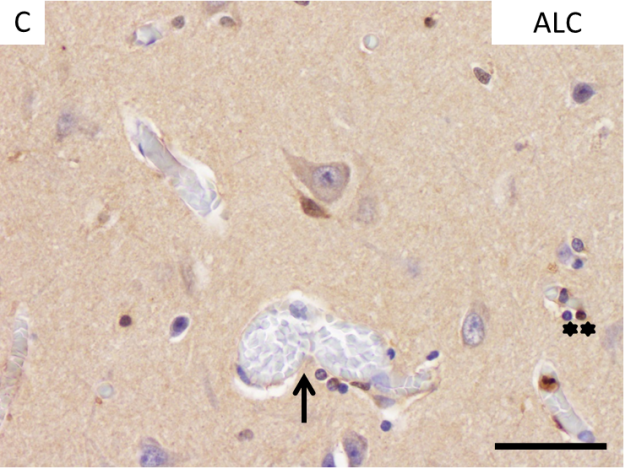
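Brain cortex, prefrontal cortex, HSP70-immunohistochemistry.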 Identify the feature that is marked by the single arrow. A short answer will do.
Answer: Vessel wall.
